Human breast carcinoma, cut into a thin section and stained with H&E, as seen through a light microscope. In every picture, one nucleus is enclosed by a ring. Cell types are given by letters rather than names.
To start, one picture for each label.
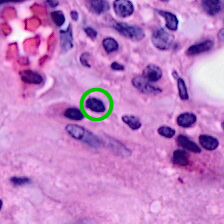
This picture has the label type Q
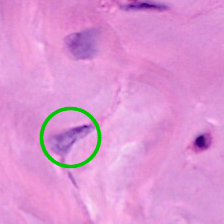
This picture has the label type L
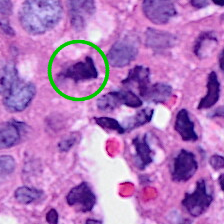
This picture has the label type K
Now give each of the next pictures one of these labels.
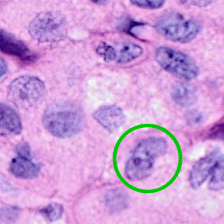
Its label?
type K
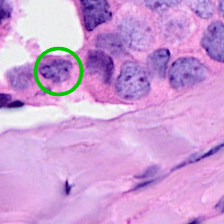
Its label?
type K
